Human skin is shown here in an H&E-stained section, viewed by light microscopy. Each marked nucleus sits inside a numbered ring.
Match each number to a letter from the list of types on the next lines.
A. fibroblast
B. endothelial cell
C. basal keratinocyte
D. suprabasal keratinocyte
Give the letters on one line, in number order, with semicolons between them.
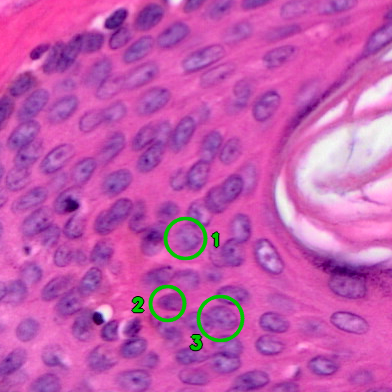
D; C; D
